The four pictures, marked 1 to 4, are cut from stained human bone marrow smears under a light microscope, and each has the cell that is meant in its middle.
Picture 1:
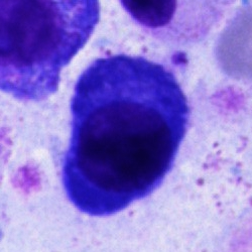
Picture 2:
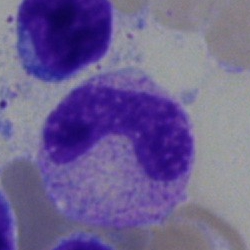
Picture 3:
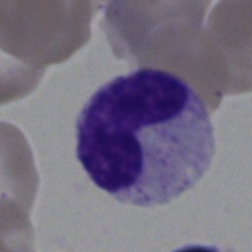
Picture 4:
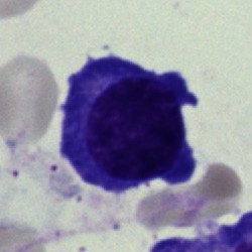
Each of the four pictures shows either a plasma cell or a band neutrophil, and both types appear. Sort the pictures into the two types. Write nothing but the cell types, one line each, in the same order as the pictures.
plasma cell
band neutrophil
band neutrophil
plasma cell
